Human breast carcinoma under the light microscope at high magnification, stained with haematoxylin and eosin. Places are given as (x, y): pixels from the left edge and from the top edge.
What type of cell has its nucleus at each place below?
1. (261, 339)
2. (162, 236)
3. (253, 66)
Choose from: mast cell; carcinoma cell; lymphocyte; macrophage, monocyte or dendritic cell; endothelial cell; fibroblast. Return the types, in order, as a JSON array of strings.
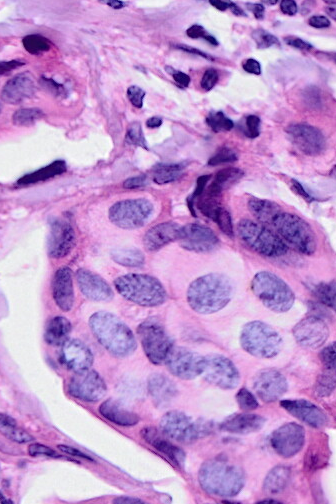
["carcinoma cell", "carcinoma cell", "lymphocyte"]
